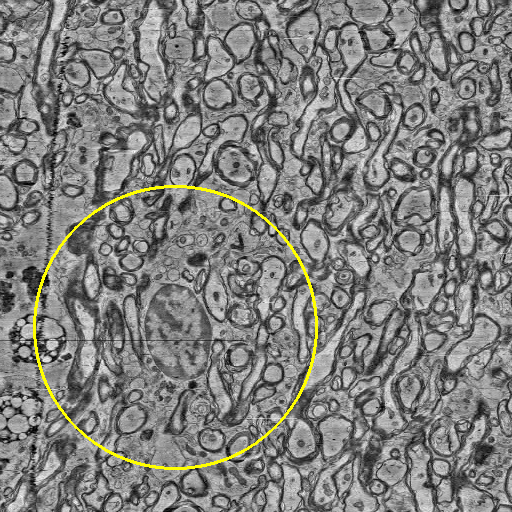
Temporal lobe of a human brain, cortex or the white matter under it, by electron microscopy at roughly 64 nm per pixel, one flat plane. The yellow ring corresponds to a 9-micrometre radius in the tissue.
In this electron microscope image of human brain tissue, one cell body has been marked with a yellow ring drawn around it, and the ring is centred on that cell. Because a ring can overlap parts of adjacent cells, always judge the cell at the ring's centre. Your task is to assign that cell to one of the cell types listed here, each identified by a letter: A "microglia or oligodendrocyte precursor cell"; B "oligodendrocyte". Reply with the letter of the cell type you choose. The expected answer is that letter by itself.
A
